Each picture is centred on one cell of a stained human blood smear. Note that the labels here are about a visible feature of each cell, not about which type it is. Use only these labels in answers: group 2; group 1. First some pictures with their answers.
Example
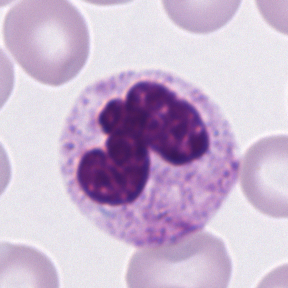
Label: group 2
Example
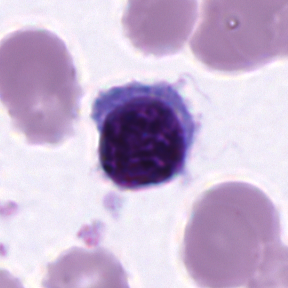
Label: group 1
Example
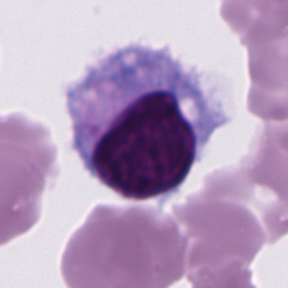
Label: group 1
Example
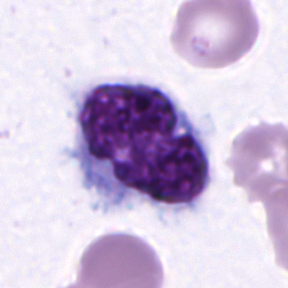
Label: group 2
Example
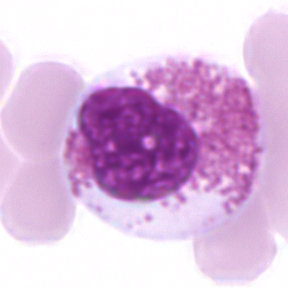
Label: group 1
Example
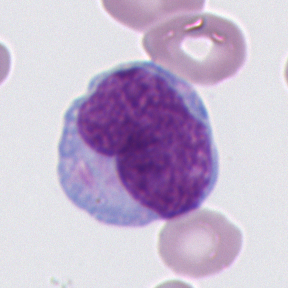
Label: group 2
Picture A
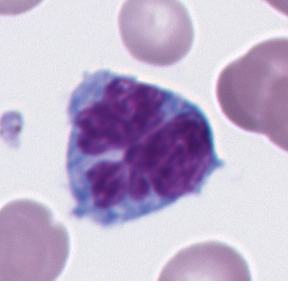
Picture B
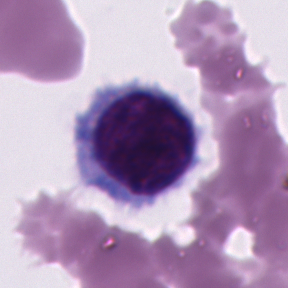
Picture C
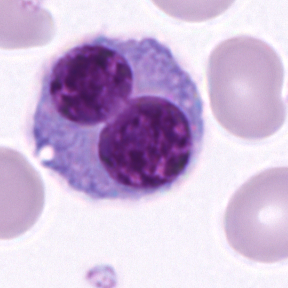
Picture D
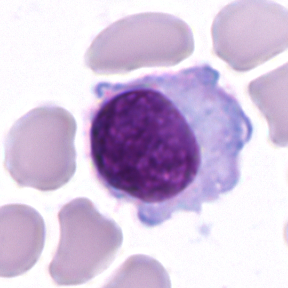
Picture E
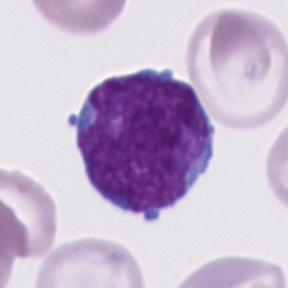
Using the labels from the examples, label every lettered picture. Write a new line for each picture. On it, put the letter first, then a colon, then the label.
A: group 2
B: group 1
C: group 2
D: group 1
E: group 1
